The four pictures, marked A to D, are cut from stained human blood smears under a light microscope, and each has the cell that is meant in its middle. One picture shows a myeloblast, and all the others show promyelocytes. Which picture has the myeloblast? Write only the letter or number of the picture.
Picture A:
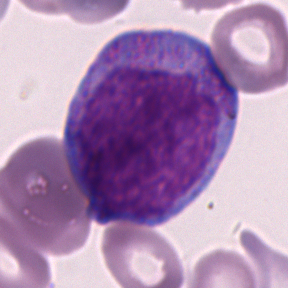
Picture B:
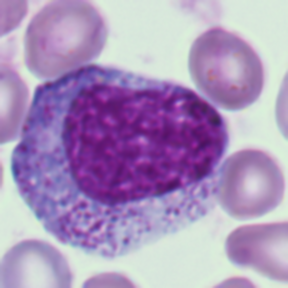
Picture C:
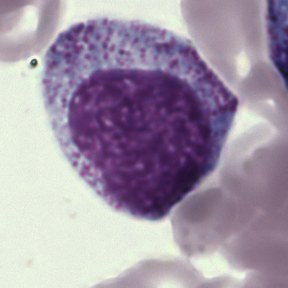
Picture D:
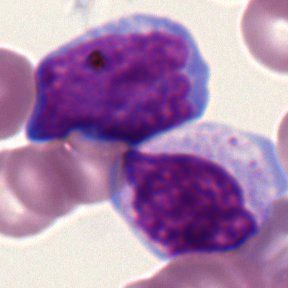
D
